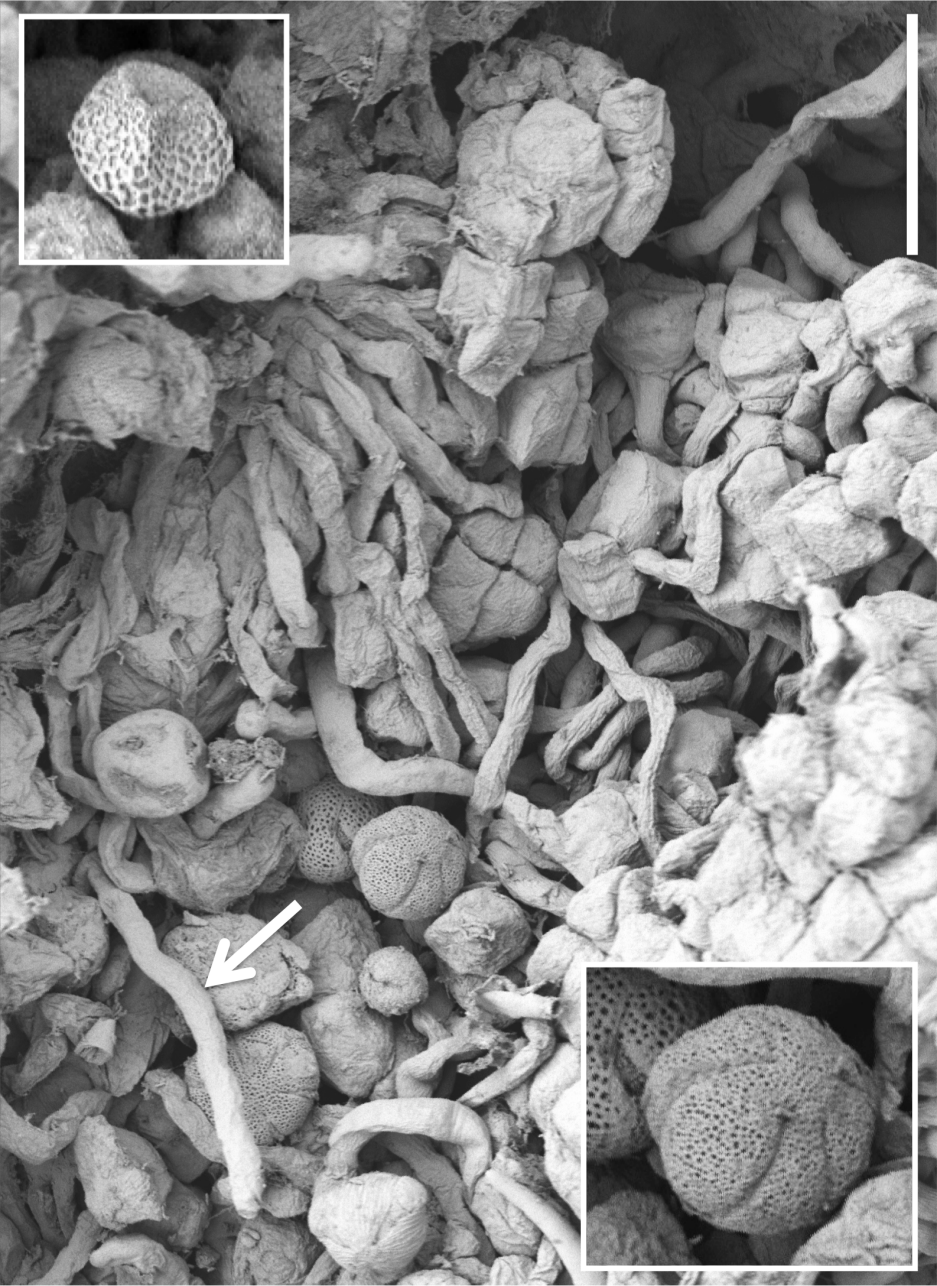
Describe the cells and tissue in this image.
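Numerous pollen grains lie on the stigma surface, many still held together in angular clusters of smooth-walled, wrinkled grains that are breaking apart into small groups of four. Many grains have germinated, and long, thin, collapsed pollen tubes wind among them in a dense tangle. Scattered among them are a few separate rounded grains with a perforated or net-like surface, unlike the smooth grains of the clusters.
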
